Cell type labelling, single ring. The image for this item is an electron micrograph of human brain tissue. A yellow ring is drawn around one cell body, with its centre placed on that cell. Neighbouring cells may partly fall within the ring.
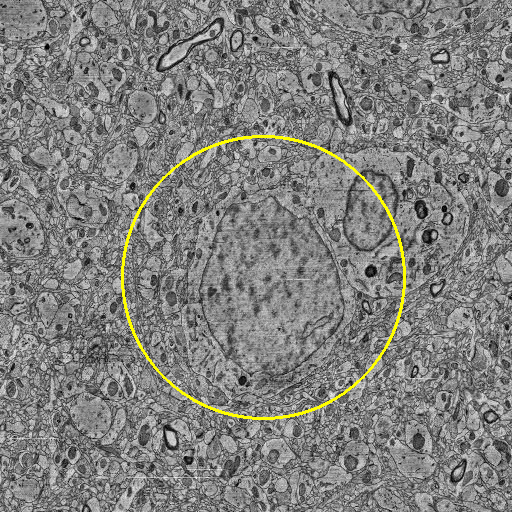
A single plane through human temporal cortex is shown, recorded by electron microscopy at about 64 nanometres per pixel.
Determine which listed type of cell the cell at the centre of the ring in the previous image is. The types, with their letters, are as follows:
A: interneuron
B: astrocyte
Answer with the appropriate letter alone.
A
